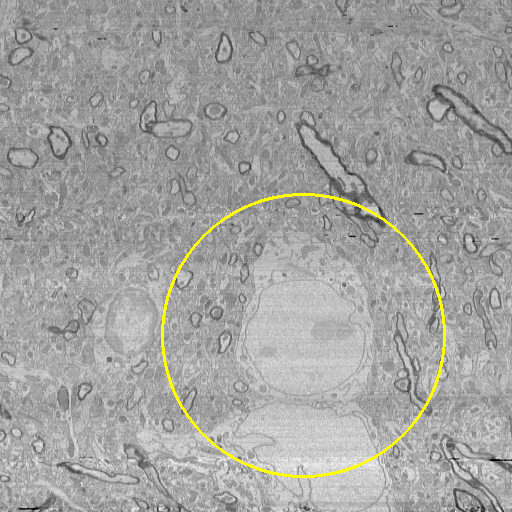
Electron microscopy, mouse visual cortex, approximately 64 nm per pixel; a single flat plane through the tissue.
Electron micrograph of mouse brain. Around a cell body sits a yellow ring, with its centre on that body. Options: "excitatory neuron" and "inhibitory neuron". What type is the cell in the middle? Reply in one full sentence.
The cell sitting at the centre of the yellow ring is an excitatory neuron.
